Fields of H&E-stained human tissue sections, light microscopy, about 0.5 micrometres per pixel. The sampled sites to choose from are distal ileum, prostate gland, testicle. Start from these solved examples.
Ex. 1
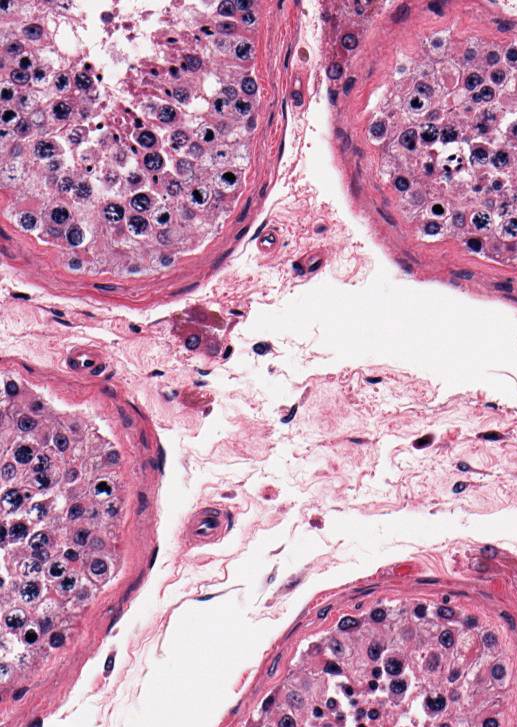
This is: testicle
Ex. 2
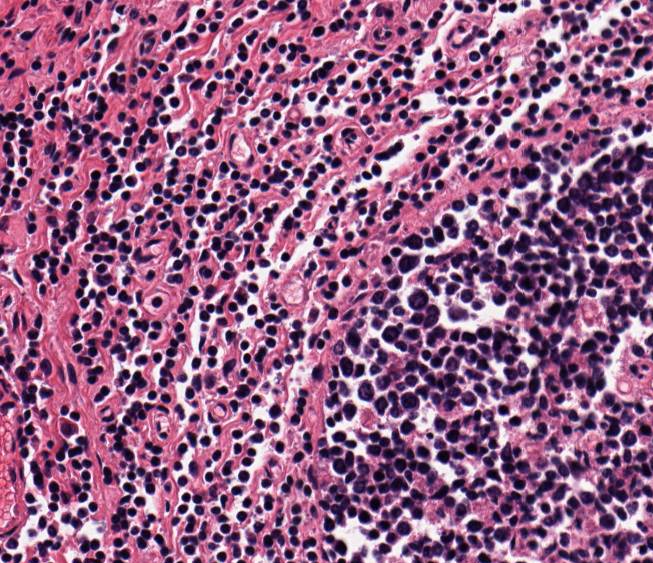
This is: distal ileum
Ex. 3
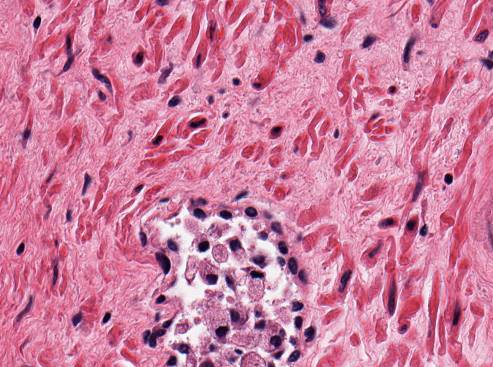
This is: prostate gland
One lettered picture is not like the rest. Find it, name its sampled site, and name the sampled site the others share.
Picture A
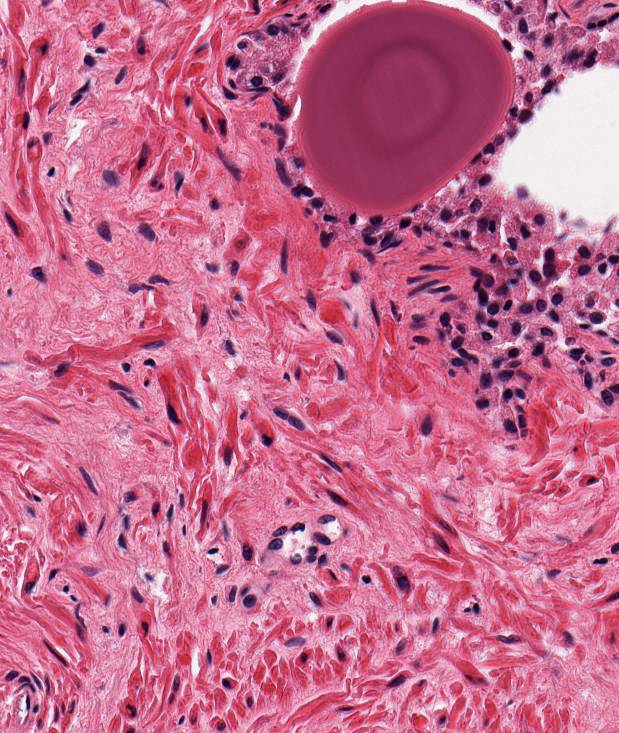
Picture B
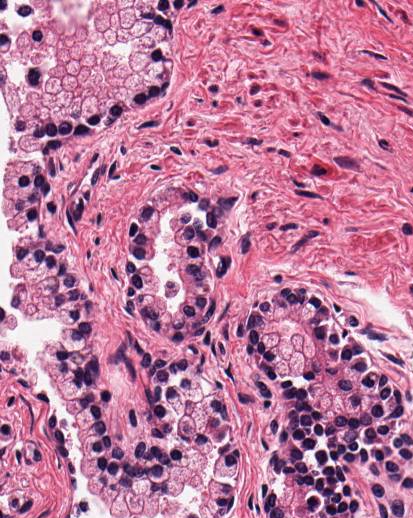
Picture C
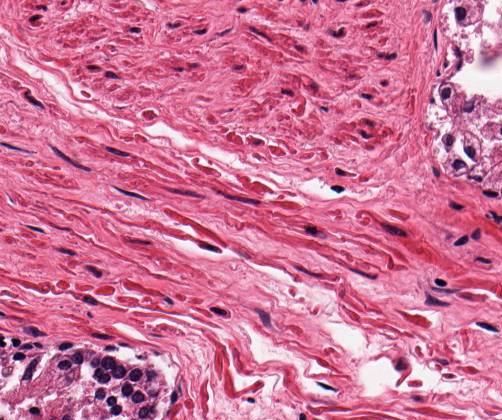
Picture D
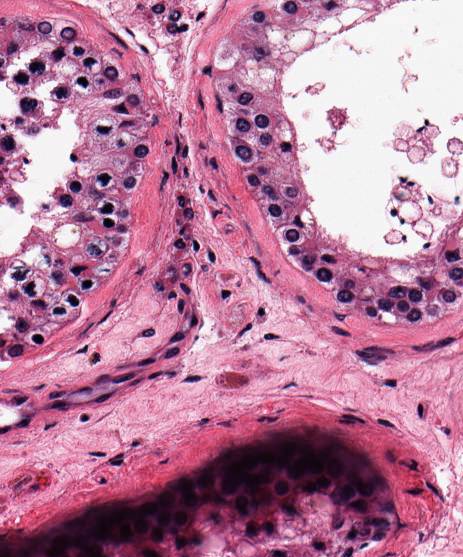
D: testicle; all the others: prostate gland.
